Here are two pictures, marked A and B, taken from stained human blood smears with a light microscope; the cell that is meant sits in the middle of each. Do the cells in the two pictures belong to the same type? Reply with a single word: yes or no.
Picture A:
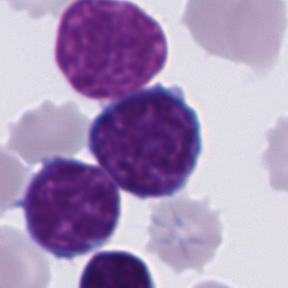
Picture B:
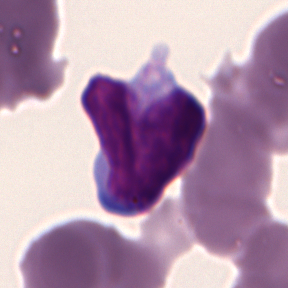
yes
